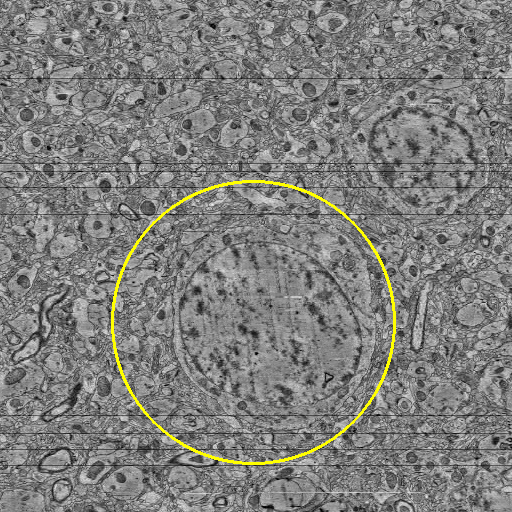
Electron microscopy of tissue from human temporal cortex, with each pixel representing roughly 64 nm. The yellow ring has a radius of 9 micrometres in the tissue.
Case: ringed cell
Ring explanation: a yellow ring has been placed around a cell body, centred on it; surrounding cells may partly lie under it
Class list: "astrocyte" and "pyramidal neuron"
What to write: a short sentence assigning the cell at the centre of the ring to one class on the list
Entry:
The cell at the ring's centre is a pyramidal neuron.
